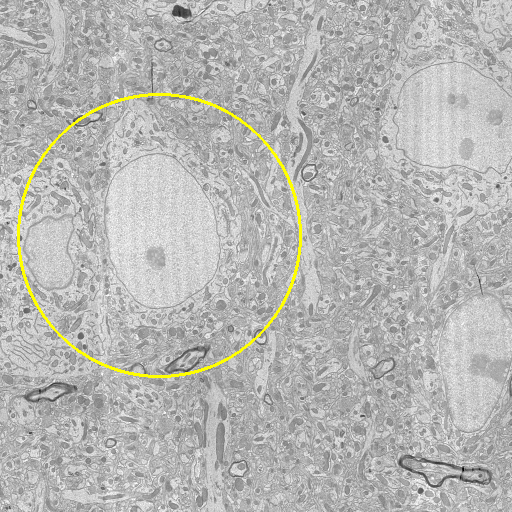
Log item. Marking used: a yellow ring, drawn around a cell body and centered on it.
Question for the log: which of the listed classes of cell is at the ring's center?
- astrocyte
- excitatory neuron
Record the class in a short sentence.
At the center of the ring lies an excitatory neuron.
